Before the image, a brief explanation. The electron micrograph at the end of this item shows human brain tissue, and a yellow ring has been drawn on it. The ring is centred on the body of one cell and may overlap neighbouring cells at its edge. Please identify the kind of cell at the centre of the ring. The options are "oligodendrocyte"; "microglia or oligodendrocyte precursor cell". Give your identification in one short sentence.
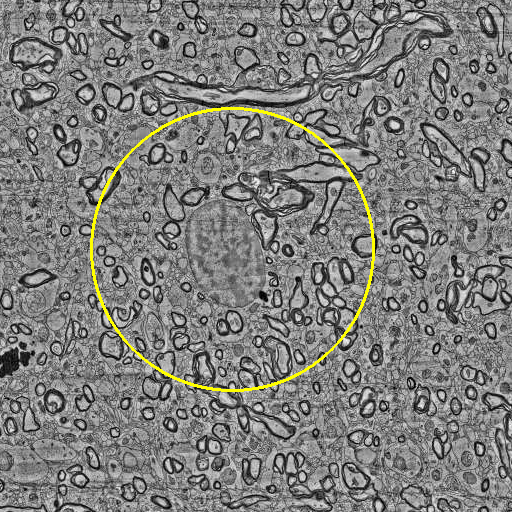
The ring has been placed around an oligodendrocyte.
